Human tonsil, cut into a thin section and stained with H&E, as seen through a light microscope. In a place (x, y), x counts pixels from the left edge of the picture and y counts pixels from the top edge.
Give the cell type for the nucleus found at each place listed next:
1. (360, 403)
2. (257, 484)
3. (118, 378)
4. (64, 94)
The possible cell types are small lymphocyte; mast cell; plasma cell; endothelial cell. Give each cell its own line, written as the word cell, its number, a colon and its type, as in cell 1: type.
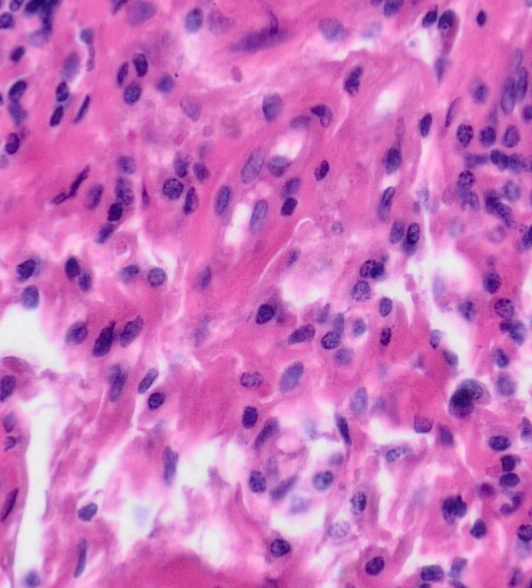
cell 1: endothelial cell
cell 2: mast cell
cell 3: endothelial cell
cell 4: mast cell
